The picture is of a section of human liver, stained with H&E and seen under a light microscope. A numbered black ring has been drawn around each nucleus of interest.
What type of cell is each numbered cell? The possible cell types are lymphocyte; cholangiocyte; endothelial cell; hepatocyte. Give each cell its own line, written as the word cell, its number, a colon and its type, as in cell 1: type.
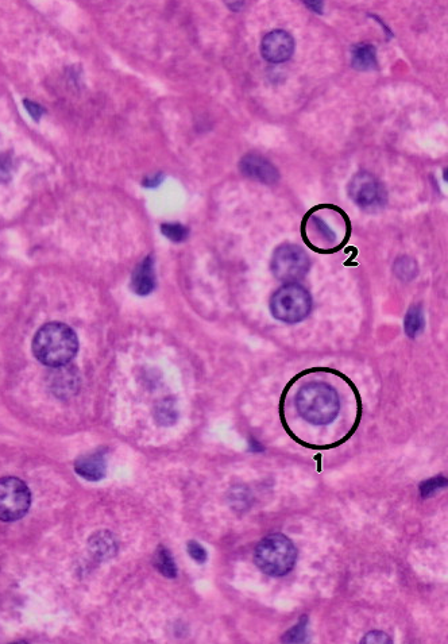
cell 1: hepatocyte
cell 2: endothelial cell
